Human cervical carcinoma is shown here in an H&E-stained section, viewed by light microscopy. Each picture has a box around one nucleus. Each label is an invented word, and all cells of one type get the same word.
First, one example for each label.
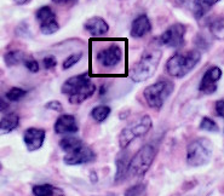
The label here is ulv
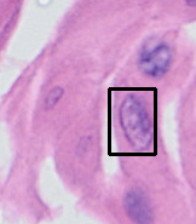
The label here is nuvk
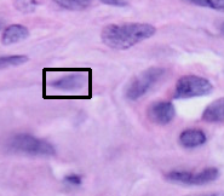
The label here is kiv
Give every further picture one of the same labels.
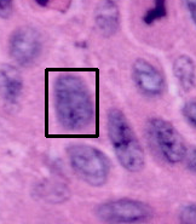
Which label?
nuvk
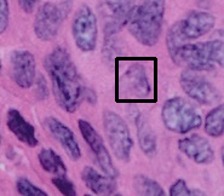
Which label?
nuvk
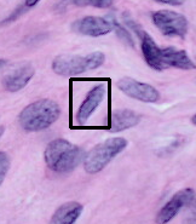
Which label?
kiv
